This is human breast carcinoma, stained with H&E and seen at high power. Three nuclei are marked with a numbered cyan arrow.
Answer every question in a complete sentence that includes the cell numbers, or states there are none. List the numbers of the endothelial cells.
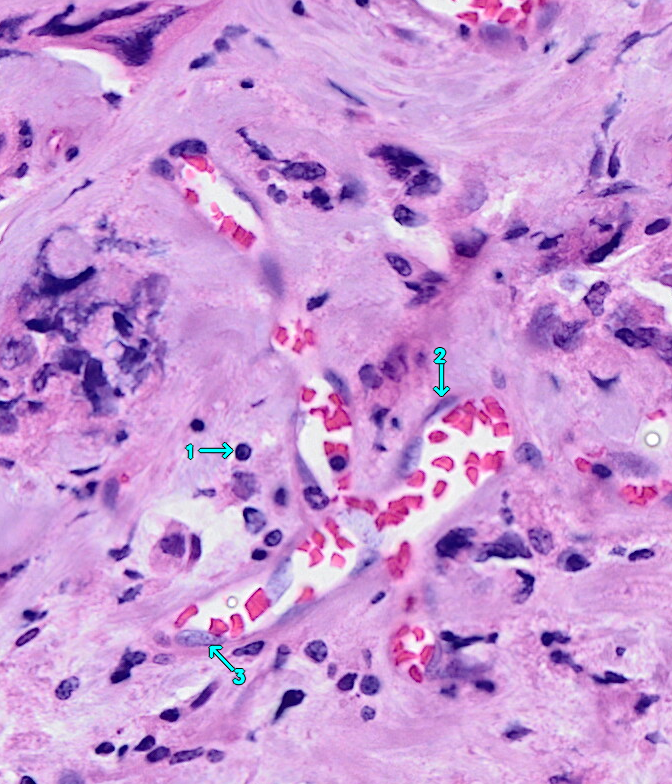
The cells that have been numbered 2 and 3 are endothelial cells.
